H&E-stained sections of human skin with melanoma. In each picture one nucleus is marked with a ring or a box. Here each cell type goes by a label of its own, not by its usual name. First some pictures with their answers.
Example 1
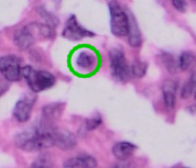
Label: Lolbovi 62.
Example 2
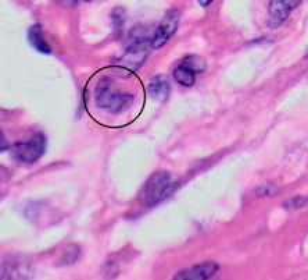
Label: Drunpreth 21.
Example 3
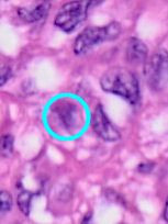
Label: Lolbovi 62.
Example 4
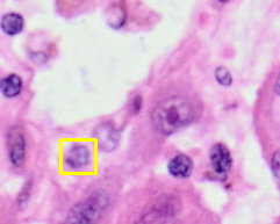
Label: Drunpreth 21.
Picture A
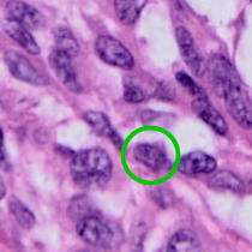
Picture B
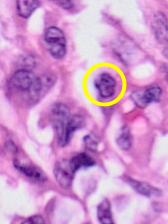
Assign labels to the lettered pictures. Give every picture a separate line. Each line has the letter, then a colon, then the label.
A: Lolbovi 62.
B: Lolbovi 62.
